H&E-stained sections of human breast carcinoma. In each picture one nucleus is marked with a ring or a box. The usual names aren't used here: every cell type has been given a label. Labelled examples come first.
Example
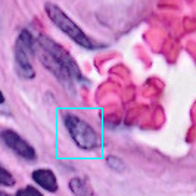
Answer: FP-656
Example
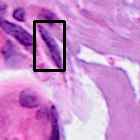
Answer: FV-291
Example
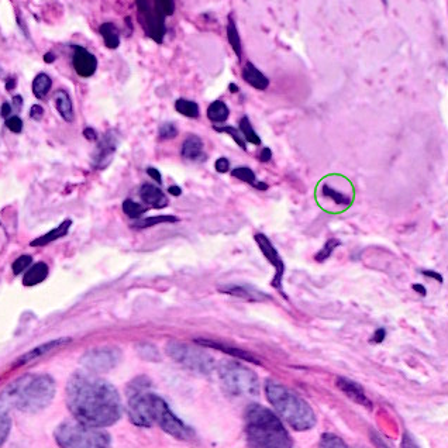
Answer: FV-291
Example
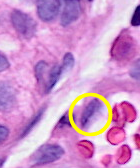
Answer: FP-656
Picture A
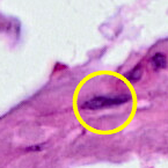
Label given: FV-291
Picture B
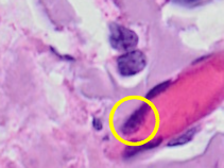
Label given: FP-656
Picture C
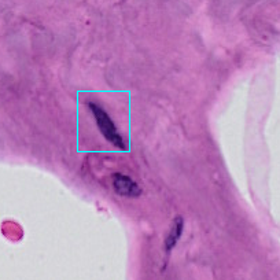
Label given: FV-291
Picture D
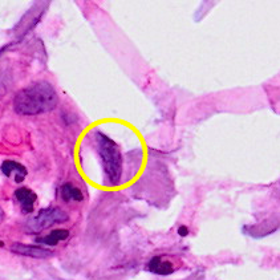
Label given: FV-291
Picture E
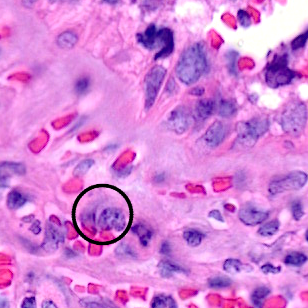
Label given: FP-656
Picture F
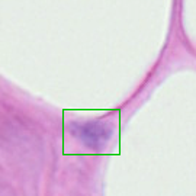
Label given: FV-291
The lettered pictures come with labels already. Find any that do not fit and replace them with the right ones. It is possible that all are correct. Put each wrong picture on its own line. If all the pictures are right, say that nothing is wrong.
All labels are correct.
